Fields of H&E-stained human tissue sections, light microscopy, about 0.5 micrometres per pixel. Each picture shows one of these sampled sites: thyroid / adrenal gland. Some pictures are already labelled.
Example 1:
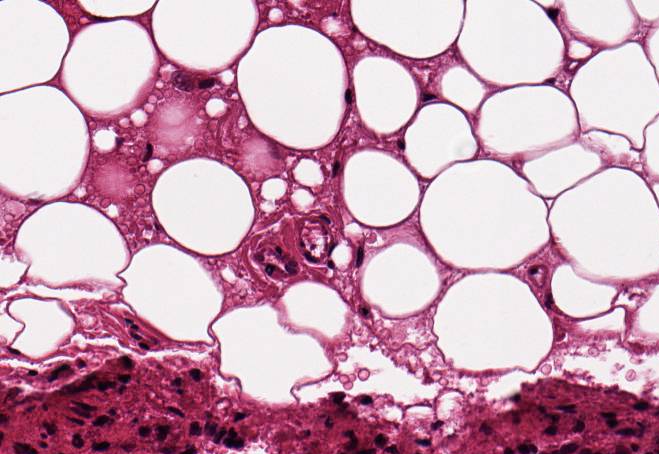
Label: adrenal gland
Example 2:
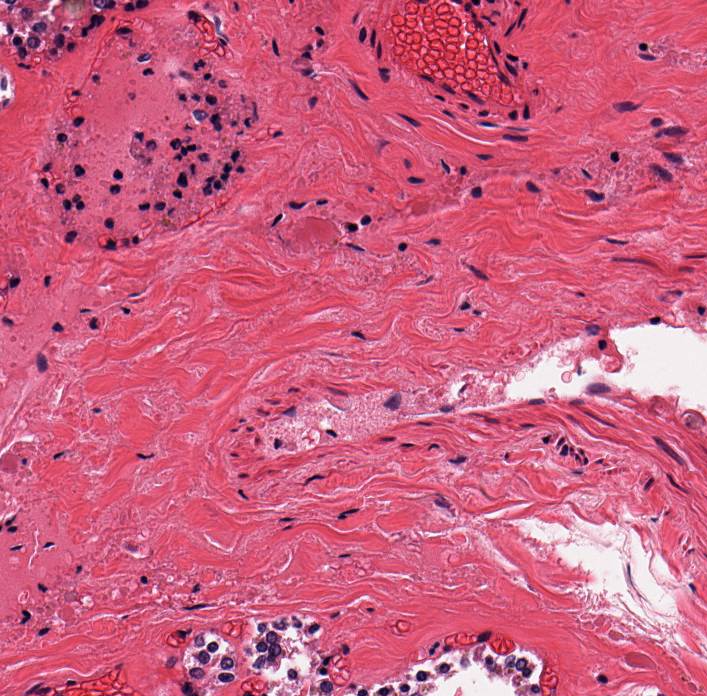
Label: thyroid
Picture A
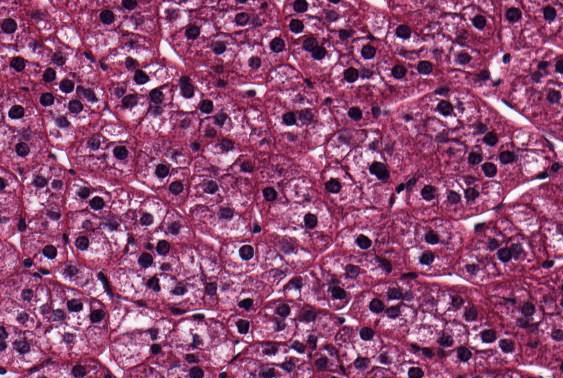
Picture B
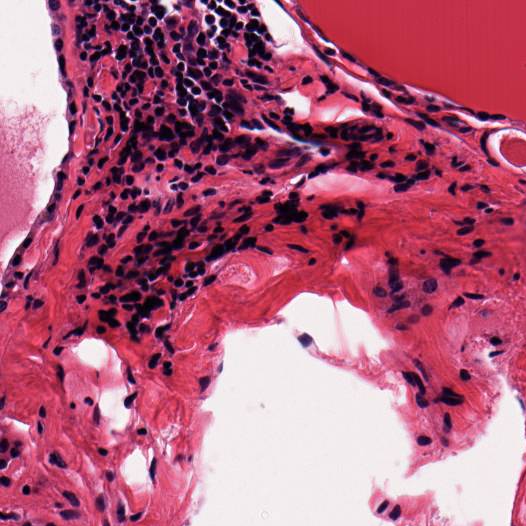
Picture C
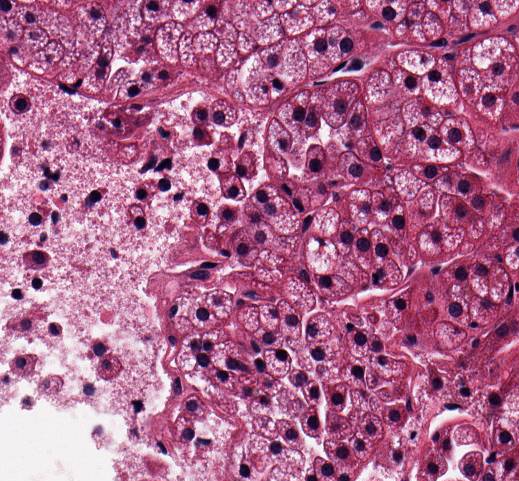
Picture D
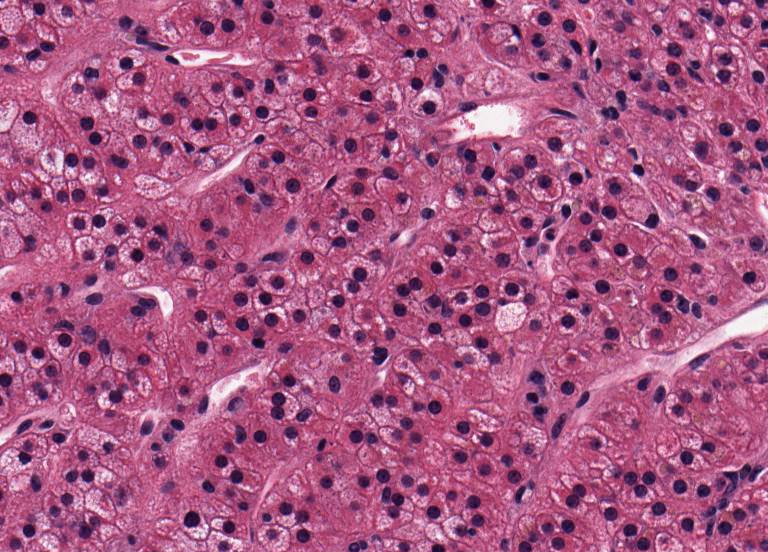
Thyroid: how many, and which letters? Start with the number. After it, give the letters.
1: B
